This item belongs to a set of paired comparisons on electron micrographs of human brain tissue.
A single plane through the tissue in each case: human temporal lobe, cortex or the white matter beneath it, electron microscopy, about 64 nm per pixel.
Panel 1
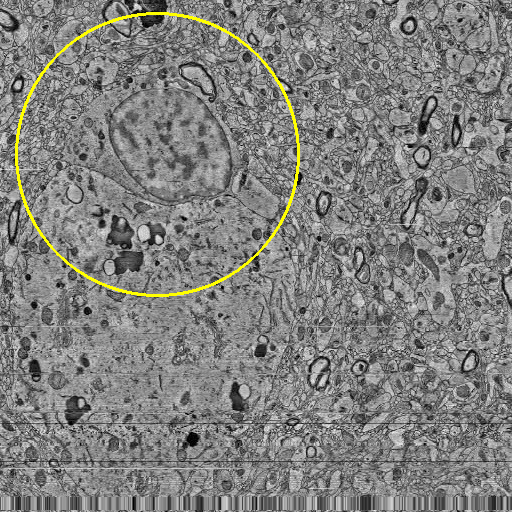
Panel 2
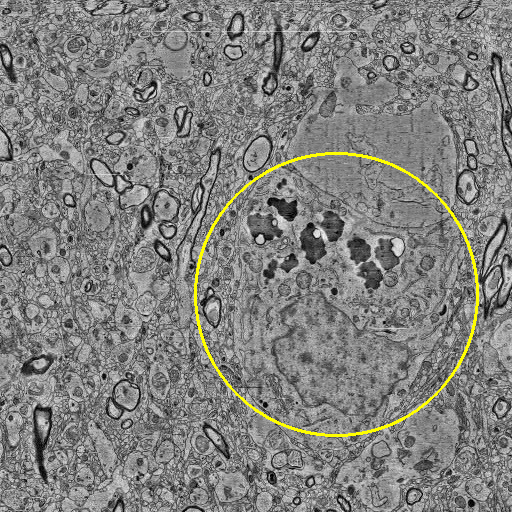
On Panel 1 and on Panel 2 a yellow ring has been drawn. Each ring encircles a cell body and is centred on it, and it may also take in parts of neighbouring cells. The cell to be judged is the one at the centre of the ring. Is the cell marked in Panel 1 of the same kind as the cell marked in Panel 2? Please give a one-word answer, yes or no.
no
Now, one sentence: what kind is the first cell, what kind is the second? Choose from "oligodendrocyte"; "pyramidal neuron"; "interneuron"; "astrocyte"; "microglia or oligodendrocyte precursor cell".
The first picture has an oligodendrocyte at its ring centre, and the second has an interneuron.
